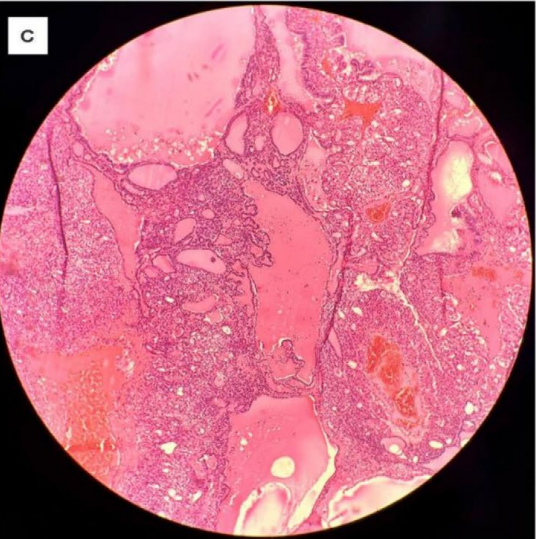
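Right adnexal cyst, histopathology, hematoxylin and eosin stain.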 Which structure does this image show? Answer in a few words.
Macrofollicles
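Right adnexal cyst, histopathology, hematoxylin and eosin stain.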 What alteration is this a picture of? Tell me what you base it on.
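Patches of bright red material within the cellular areas. That points to this answer: hemorrhage.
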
